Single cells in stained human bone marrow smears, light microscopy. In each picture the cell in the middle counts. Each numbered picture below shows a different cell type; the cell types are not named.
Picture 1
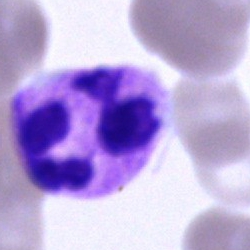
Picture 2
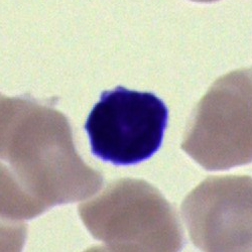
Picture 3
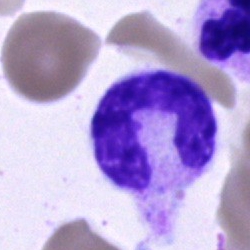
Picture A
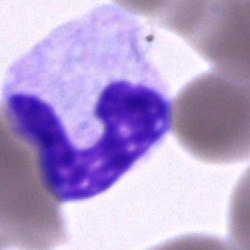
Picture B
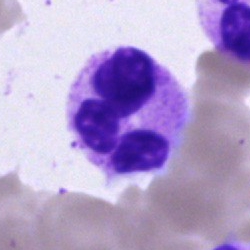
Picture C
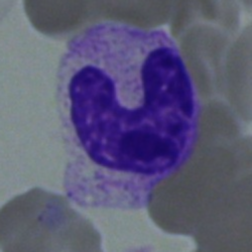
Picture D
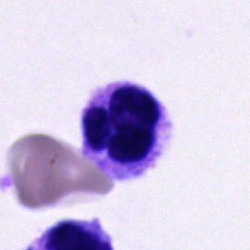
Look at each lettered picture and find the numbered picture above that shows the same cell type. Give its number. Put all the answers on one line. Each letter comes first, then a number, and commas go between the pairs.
A 1, B 1, C 3, D 1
